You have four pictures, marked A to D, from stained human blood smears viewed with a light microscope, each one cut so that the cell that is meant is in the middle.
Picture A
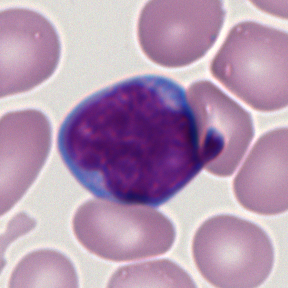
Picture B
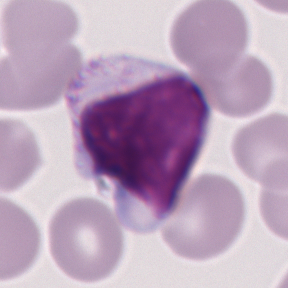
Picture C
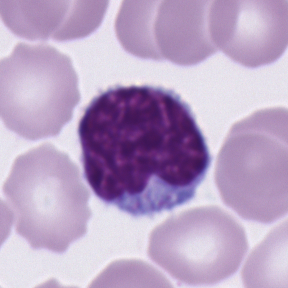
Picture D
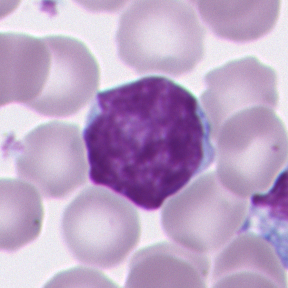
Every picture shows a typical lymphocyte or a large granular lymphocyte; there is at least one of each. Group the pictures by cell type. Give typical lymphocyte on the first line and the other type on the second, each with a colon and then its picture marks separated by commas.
typical lymphocyte: A, C, D
large granular lymphocyte: B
